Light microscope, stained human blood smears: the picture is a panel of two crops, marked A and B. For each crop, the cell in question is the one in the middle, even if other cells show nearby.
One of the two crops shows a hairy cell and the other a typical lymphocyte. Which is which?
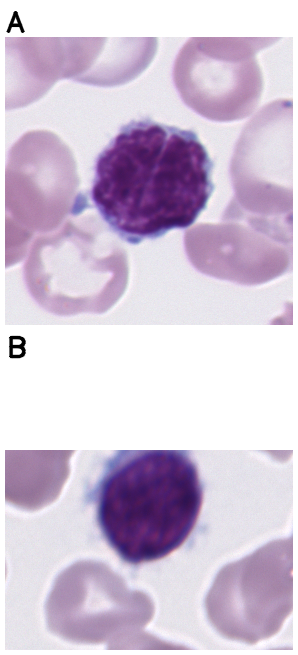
A: typical lymphocyte
B: hairy cell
